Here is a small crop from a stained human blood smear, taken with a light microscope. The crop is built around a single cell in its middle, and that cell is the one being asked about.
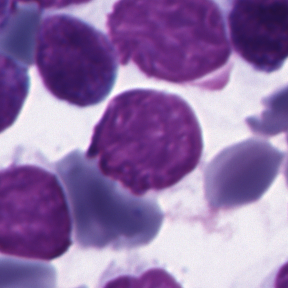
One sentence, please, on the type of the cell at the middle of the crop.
The cell at the heart of this crop is a myeloblast.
